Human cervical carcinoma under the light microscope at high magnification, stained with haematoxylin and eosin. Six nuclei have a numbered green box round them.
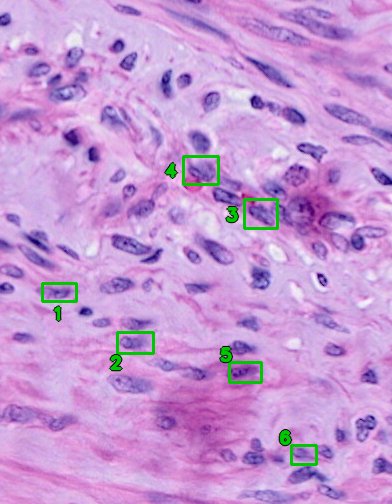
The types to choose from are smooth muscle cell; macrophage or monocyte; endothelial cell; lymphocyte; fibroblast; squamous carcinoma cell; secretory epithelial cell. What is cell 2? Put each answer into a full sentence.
Corresponding to a smooth muscle cell is the cell labelled 2.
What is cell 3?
Marked with the number 3, this cell is an endothelial cell.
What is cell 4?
Within this field of view, the cell labelled 4 is an endothelial cell.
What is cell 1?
The cell assigned the number 1 is a smooth muscle cell.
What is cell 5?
The numeral 5 marks a smooth muscle cell in this section.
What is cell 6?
It is as a smooth muscle cell that the cell numbered 6 is identified.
